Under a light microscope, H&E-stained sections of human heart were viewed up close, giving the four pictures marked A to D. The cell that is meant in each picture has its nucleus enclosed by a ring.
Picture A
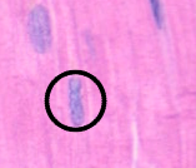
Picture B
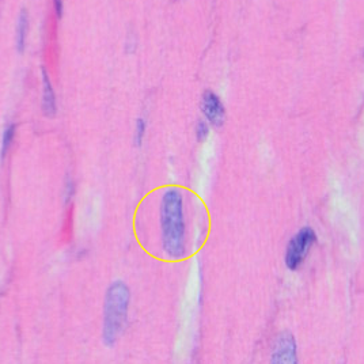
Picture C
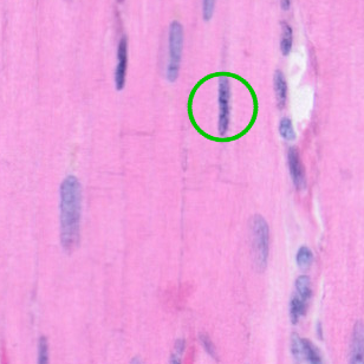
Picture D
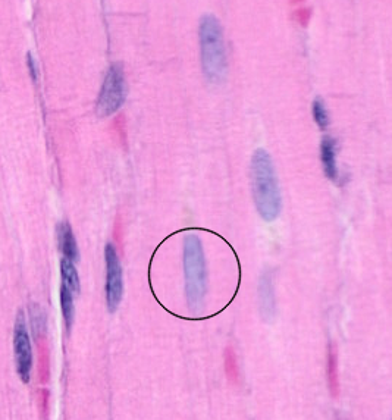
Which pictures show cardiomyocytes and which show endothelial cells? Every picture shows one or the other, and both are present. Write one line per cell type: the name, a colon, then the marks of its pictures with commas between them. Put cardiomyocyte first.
cardiomyocyte: A, B, D
endothelial cell: C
